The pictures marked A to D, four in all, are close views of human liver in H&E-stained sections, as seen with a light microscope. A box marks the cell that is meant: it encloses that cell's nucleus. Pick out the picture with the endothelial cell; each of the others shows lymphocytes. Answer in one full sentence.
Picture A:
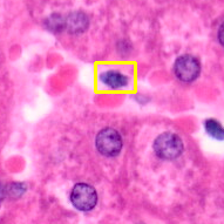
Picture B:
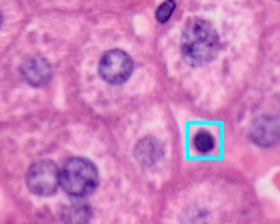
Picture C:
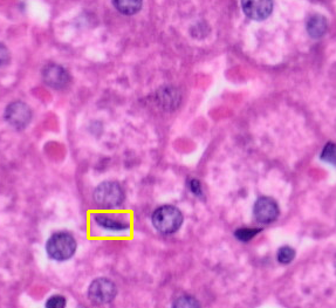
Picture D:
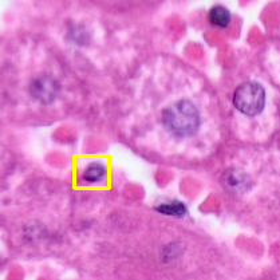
The picture with the endothelial cell is C.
